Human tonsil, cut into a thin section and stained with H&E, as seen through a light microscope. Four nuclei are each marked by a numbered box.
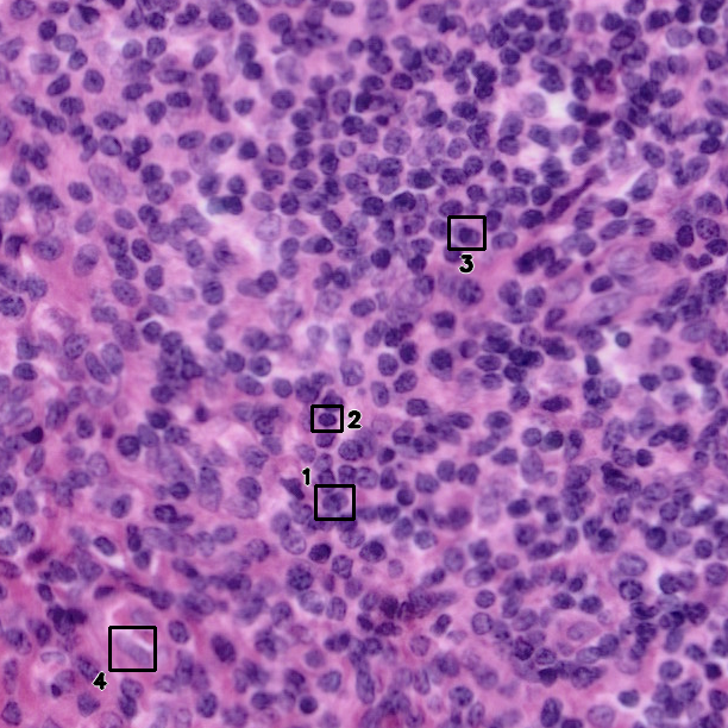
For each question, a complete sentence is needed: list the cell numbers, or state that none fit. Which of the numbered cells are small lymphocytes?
The cells marked by the numbers 1, 2 and 3 are small lymphocytes.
